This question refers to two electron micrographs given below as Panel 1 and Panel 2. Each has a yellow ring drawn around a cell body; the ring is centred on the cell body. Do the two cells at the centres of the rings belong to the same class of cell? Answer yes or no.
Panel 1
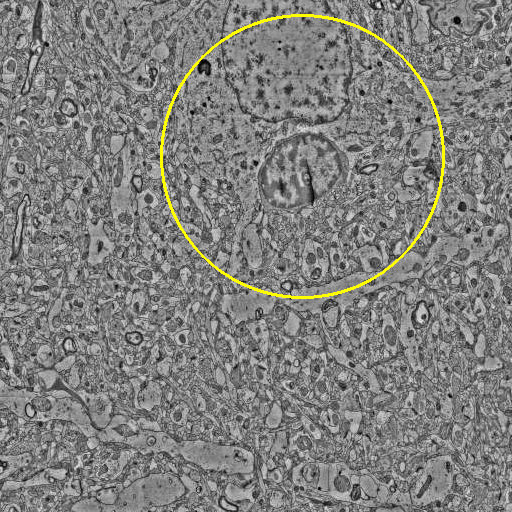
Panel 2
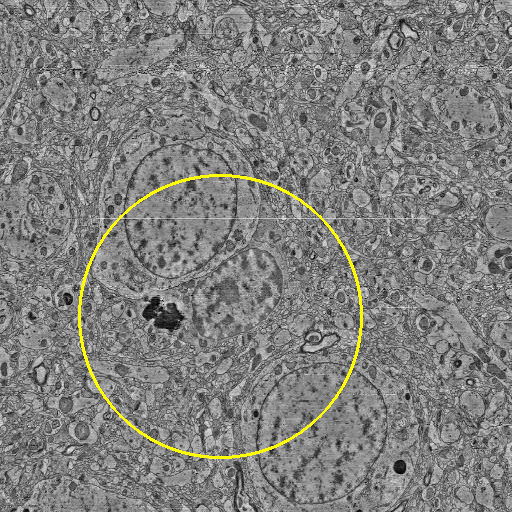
yes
